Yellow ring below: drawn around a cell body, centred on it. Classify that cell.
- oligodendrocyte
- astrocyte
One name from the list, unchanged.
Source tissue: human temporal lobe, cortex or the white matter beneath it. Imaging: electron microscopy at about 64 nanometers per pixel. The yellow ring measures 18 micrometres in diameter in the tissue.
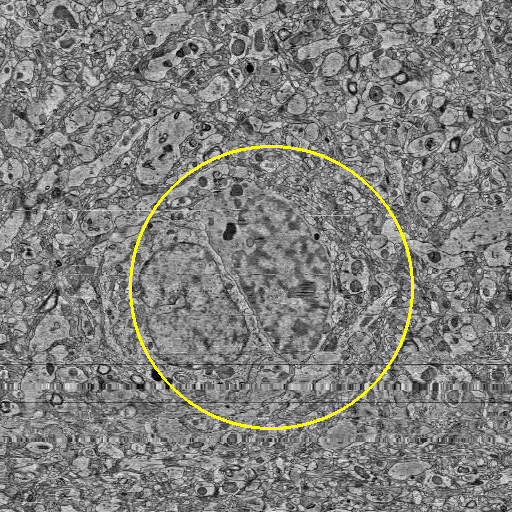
oligodendrocyte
